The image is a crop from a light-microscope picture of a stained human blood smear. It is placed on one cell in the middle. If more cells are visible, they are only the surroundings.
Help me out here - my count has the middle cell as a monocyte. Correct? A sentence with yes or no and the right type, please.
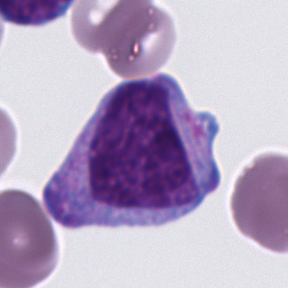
No, the middle of the crop holds an atypical promyelocyte, not a monocyte.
